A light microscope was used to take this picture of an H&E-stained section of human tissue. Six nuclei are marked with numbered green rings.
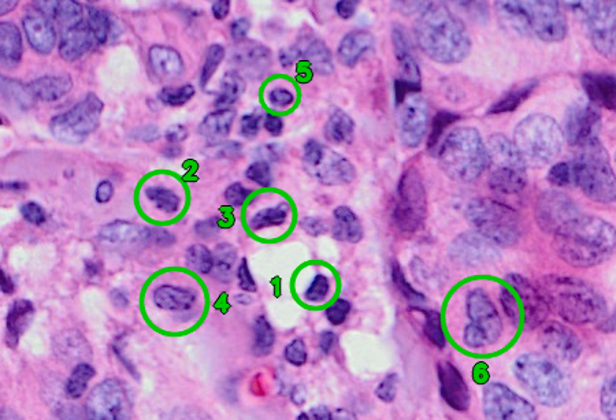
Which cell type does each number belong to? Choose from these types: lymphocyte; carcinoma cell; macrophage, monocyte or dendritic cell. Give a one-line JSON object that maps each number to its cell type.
{"1": "lymphocyte", "2": "lymphocyte", "3": "lymphocyte", "4": "macrophage, monocyte or dendritic cell", "5": "lymphocyte", "6": "carcinoma cell"}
